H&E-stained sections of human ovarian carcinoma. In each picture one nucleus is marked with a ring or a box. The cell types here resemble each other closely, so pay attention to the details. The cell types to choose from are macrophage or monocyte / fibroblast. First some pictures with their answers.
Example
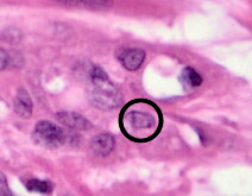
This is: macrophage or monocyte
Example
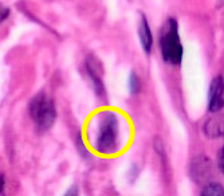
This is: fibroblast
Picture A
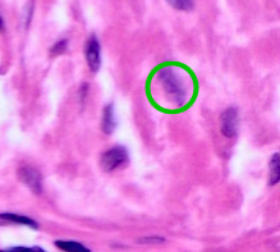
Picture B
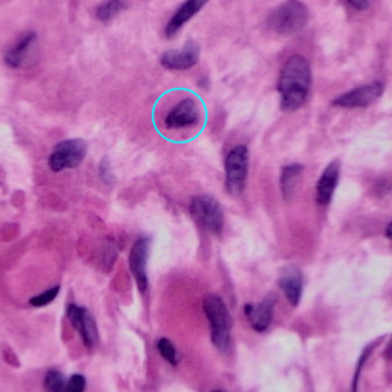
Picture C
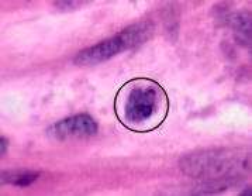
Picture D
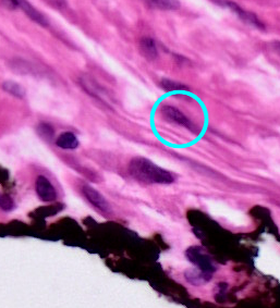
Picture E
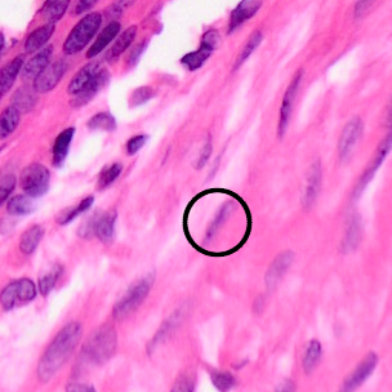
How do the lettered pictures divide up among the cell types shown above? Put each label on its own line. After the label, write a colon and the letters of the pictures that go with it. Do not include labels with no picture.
macrophage or monocyte: C
fibroblast: A, B, D, E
